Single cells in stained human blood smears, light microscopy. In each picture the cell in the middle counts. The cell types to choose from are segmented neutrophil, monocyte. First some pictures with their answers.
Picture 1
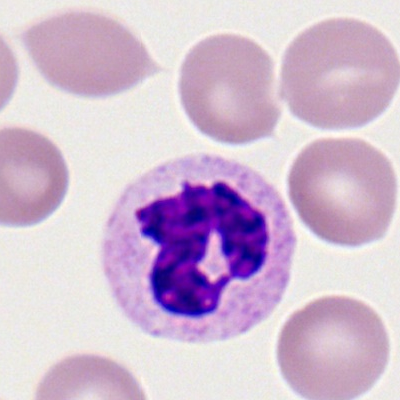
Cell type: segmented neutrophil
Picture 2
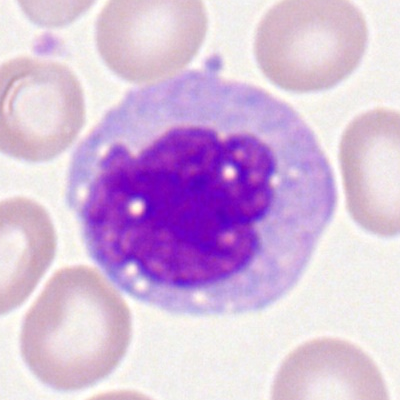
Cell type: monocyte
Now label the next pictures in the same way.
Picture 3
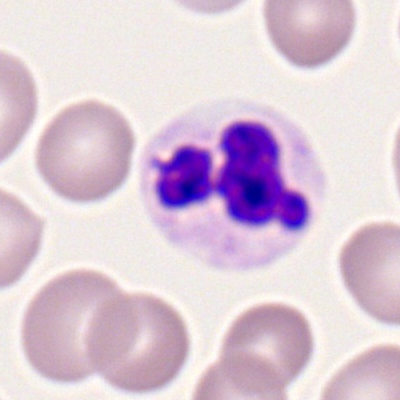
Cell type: segmented neutrophil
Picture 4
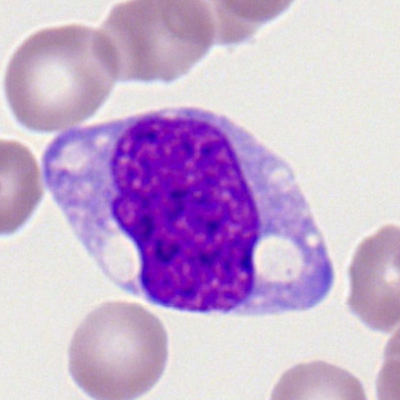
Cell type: monocyte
